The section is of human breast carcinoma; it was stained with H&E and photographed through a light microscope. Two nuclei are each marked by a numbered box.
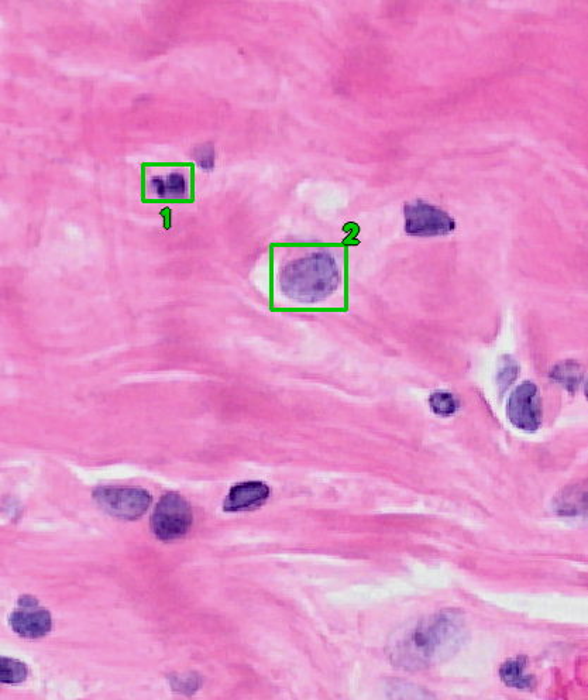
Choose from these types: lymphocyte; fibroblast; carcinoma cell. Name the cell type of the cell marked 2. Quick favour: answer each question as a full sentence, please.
Cell 2, as marked in the section, is a fibroblast.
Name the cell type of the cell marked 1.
The cell numbered 1 represents a lymphocyte.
